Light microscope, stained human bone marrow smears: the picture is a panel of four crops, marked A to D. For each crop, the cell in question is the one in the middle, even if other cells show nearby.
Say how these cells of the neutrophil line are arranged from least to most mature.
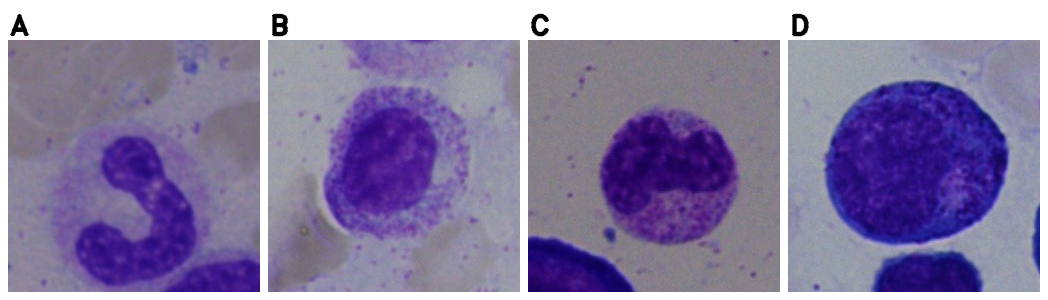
D, B, C, A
